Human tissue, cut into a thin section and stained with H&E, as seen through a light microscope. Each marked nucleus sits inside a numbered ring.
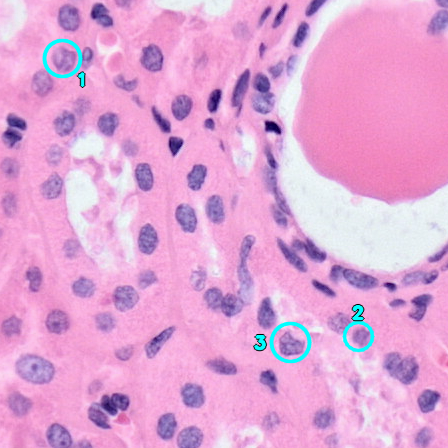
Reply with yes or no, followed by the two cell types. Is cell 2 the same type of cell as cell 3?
Yes, that is right: cells 2 and 3 are both loop of Henle or distal tubule cells.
